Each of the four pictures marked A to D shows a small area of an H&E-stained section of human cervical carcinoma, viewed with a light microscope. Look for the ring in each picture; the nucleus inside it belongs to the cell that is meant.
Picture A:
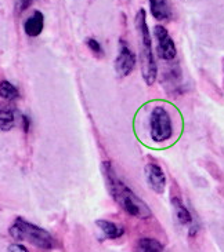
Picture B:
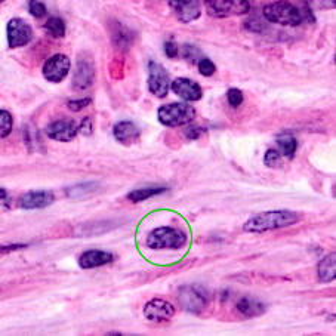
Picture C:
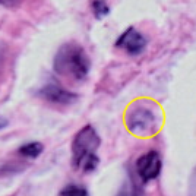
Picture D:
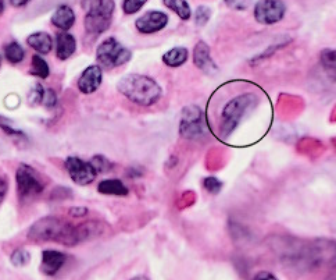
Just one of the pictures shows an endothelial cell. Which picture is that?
D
